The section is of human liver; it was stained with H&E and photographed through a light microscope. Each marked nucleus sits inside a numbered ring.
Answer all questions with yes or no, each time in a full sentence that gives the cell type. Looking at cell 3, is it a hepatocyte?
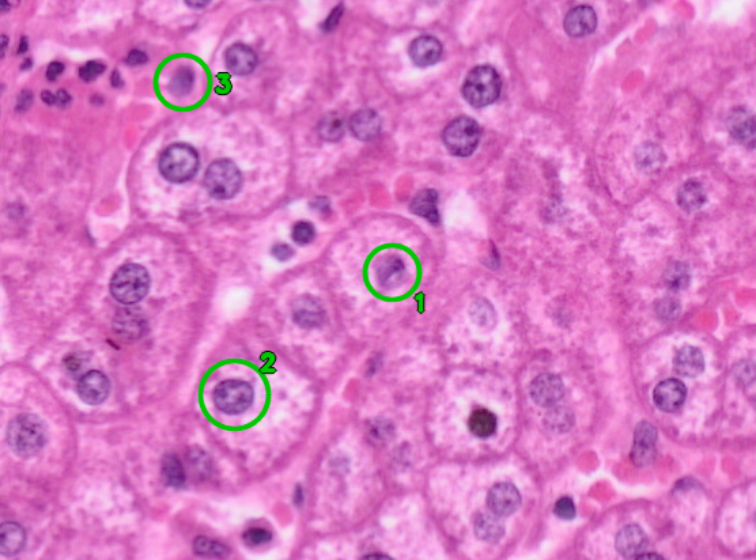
No, what number 3 shows is an endothelial cell, not a hepatocyte.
